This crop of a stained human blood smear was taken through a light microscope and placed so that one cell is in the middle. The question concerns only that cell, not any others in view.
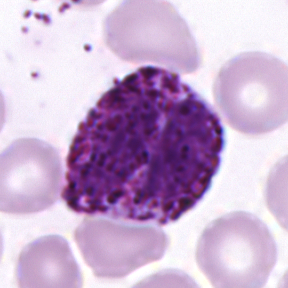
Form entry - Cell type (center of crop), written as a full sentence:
Framed in the middle of the crop is a basophil.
